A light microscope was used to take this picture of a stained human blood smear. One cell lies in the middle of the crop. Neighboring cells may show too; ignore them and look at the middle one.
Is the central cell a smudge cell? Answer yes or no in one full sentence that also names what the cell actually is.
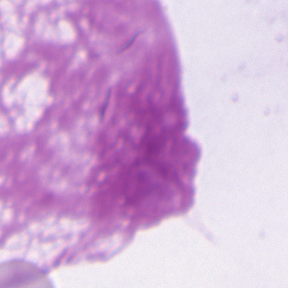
Yes, the cell at the crop's center is a smudge cell.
